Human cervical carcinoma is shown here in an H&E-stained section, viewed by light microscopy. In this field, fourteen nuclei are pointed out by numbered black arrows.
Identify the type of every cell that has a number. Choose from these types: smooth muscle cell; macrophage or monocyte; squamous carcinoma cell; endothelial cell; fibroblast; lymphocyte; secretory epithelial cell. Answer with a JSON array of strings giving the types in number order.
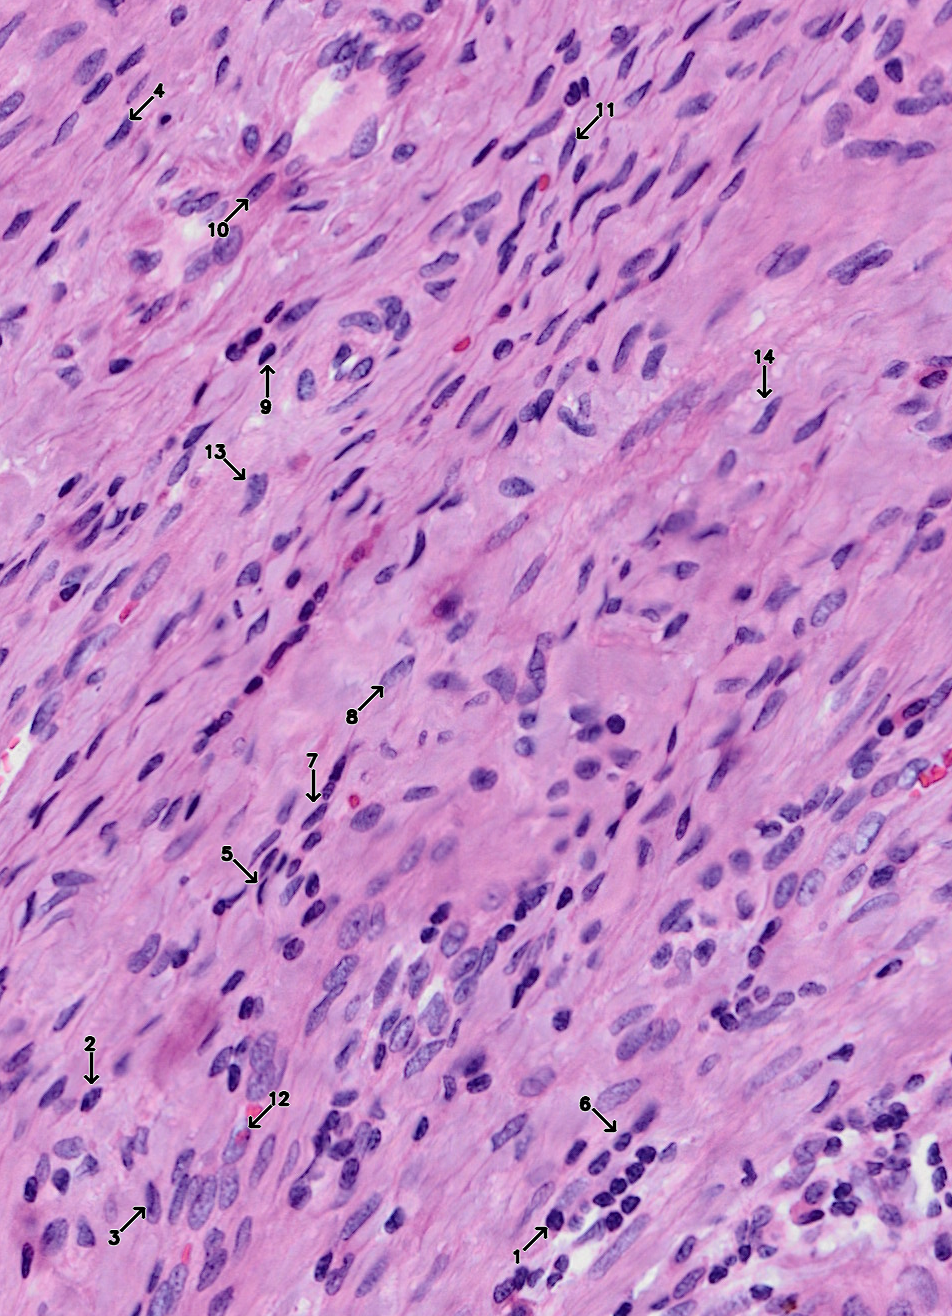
["lymphocyte", "lymphocyte", "fibroblast", "fibroblast", "fibroblast", "lymphocyte", "fibroblast", "fibroblast", "lymphocyte", "endothelial cell", "fibroblast", "endothelial cell", "fibroblast", "fibroblast"]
